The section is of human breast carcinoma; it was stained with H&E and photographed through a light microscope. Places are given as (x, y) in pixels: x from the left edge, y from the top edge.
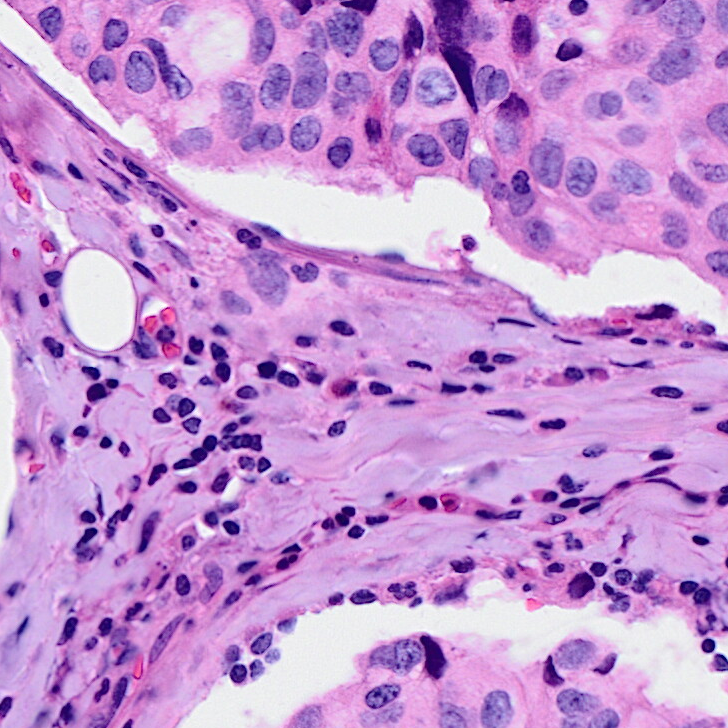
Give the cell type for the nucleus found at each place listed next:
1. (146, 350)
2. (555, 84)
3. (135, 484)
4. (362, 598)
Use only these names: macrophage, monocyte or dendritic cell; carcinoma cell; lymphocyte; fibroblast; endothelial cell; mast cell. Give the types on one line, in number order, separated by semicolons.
endothelial cell; carcinoma cell; mast cell; lymphocyte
